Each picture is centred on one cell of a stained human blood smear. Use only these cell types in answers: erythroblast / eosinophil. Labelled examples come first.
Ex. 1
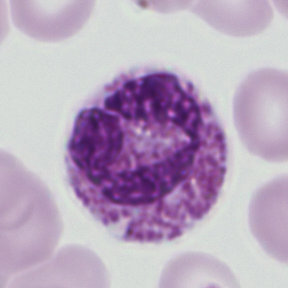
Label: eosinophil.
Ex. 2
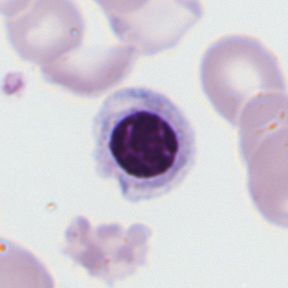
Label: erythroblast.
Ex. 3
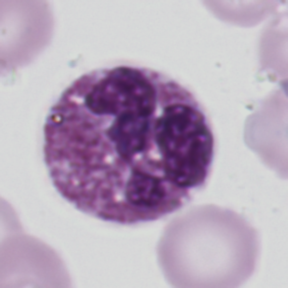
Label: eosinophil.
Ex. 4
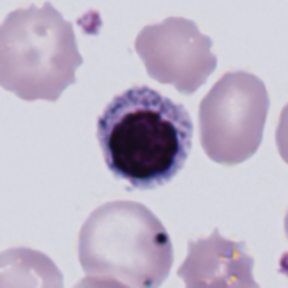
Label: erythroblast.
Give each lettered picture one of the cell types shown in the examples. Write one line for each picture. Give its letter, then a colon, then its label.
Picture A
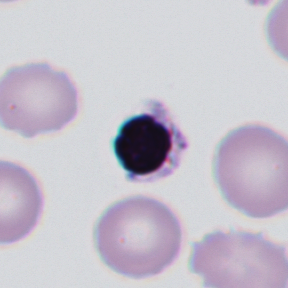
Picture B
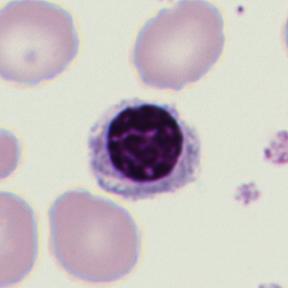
A: erythroblast.
B: erythroblast.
